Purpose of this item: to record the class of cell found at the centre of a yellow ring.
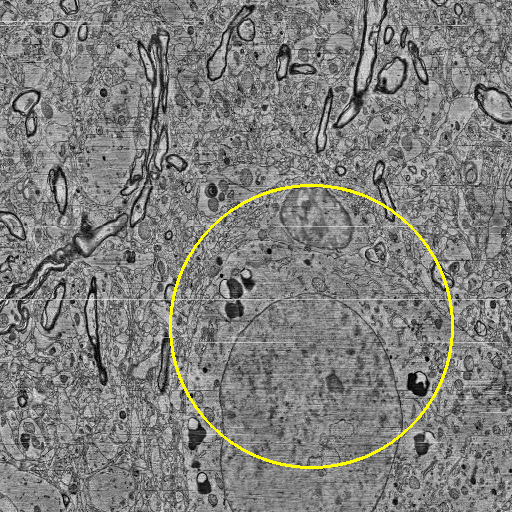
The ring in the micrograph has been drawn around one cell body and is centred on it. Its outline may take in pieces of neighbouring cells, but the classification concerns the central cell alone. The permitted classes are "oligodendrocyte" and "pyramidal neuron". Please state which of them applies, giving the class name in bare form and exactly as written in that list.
pyramidal neuron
